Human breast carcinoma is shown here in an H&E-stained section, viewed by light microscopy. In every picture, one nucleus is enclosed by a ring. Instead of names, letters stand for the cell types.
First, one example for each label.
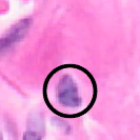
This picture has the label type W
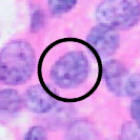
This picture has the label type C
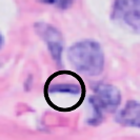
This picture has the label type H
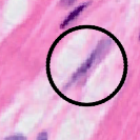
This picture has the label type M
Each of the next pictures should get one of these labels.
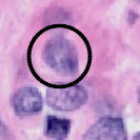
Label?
type C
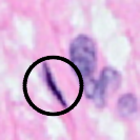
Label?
type M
